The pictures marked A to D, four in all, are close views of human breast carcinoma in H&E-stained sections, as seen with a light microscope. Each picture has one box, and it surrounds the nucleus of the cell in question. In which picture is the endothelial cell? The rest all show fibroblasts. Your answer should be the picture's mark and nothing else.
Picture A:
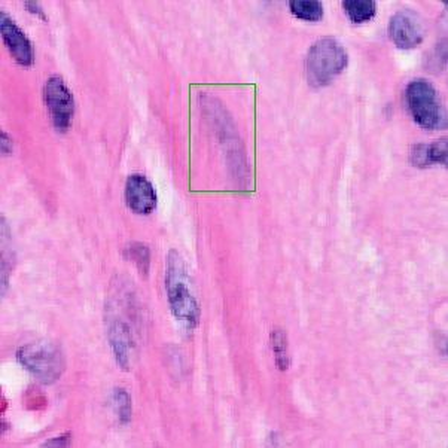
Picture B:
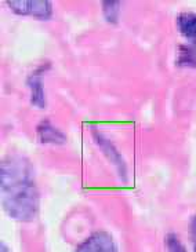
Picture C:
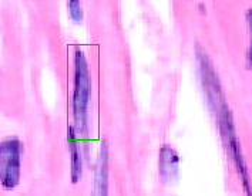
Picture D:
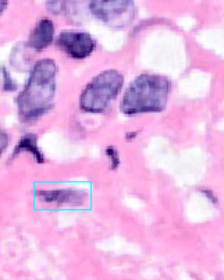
C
